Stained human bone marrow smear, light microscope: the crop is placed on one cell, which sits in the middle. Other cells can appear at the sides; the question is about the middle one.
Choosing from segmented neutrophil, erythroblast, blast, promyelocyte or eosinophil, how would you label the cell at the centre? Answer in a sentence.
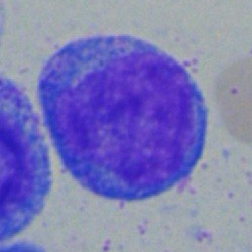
The identification for the central cell is a blast.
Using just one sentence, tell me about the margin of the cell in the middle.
Smooth outline, no projections: that is the whole story of its edge.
